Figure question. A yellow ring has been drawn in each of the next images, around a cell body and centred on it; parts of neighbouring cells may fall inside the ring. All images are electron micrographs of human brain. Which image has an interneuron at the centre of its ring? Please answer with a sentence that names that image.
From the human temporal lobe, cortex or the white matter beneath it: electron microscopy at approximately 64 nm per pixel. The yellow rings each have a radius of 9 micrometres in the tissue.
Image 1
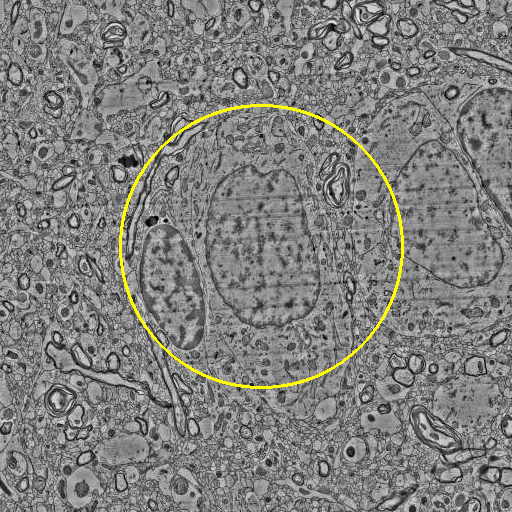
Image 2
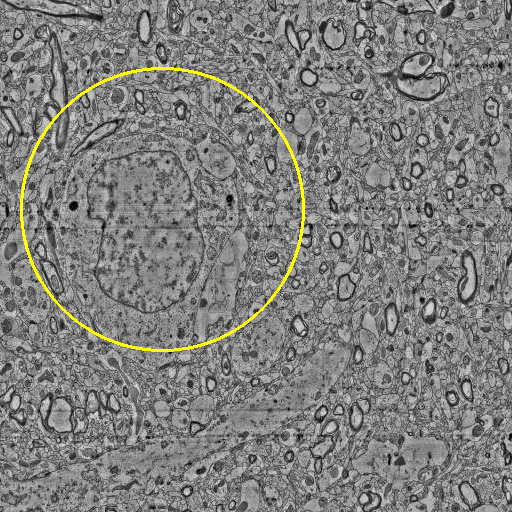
The cell at the centre of the ring in Image 1 is of that kind.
